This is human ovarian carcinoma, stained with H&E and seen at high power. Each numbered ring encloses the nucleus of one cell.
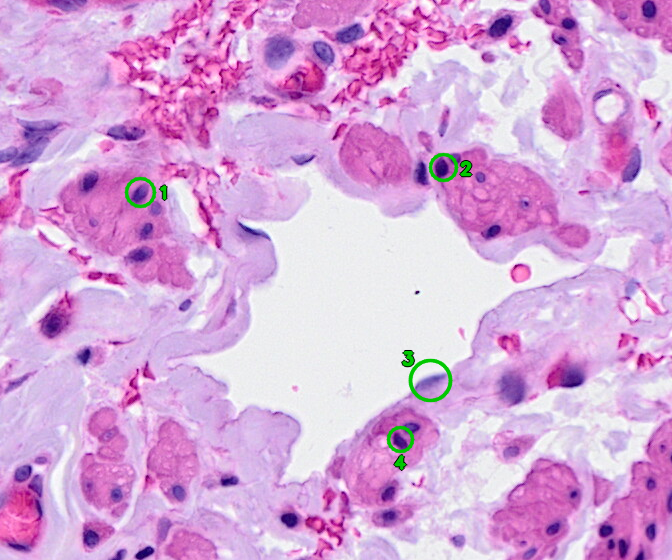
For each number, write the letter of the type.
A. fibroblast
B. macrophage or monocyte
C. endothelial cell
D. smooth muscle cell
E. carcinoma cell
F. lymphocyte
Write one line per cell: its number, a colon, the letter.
1: D
2: D
3: C
4: D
